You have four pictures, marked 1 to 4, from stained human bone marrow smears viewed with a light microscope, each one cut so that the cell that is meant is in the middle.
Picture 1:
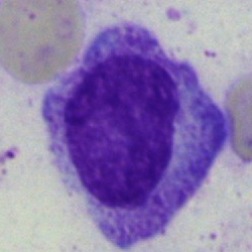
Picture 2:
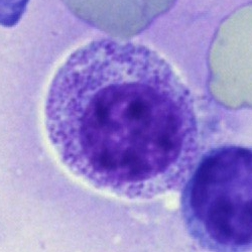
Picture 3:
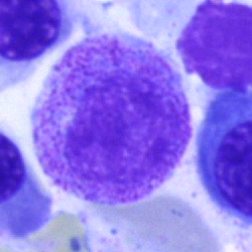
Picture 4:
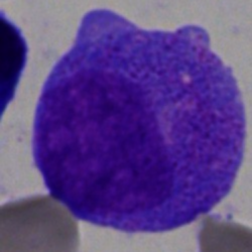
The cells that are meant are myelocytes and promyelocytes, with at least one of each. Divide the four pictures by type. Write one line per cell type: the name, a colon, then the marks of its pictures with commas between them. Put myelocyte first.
myelocyte: 2, 3
promyelocyte: 1, 4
